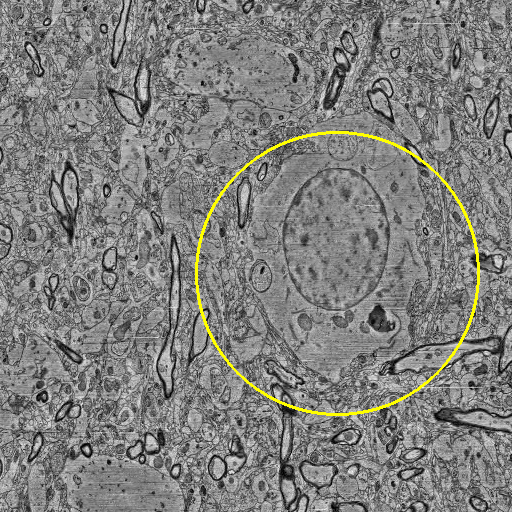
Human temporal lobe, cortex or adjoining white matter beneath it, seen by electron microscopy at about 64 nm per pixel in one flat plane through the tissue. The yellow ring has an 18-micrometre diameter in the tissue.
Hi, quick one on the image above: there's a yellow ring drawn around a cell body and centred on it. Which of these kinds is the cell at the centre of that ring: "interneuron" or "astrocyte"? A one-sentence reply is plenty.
The cell at the centre of the ring is an astrocyte.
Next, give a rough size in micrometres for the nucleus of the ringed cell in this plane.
In this plane the nucleus spans approximately 9 by 7 micrometers.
